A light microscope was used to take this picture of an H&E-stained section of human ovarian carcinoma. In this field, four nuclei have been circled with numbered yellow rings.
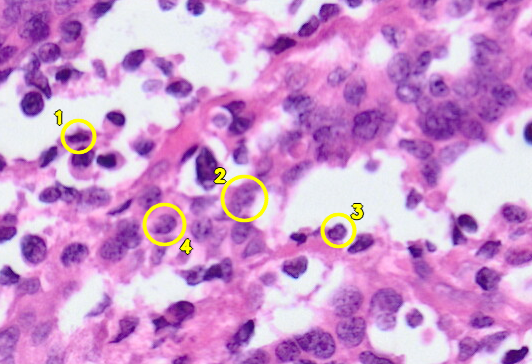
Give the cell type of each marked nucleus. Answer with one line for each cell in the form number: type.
1: carcinoma cell
2: carcinoma cell
3: carcinoma cell
4: macrophage or monocyte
